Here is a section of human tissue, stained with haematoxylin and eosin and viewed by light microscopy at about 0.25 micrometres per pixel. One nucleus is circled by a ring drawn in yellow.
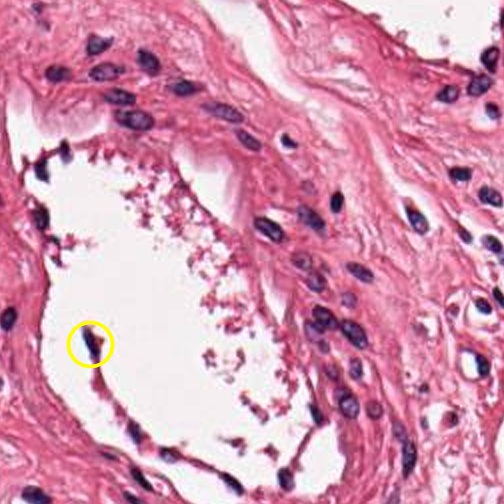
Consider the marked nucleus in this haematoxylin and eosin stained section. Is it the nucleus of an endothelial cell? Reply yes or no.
yes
